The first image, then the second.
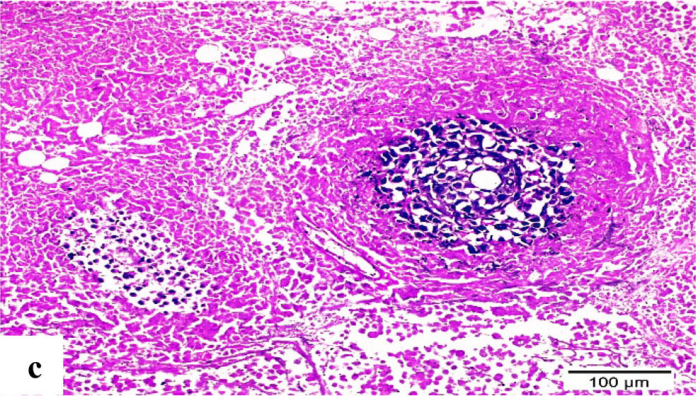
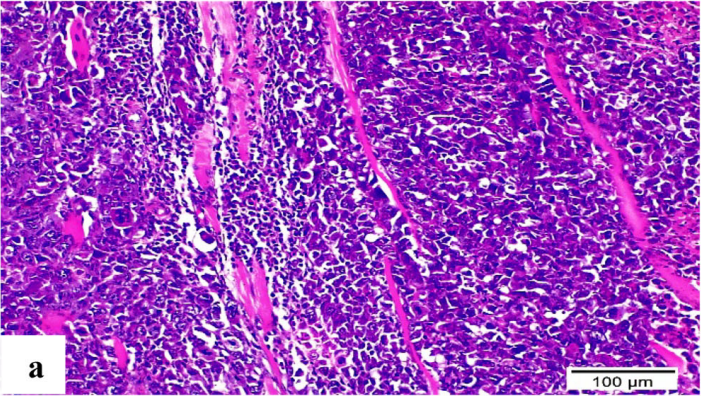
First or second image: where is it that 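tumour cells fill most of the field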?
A: The second image.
